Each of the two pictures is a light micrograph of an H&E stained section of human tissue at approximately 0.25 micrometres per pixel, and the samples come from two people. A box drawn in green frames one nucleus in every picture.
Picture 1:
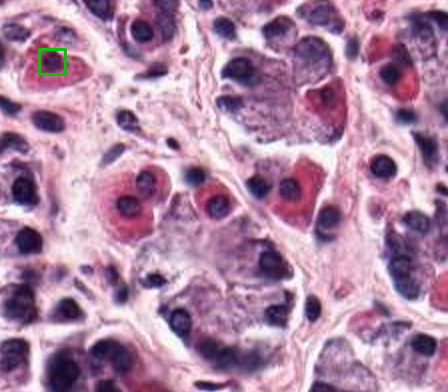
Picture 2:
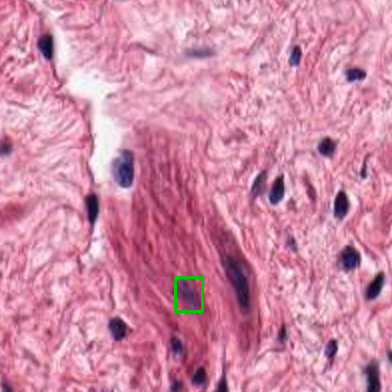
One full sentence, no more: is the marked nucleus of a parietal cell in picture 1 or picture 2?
The marked nucleus in picture 1 is identified as that of a parietal cell.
